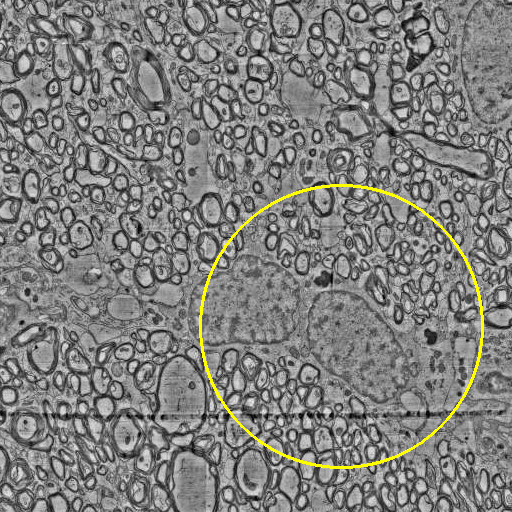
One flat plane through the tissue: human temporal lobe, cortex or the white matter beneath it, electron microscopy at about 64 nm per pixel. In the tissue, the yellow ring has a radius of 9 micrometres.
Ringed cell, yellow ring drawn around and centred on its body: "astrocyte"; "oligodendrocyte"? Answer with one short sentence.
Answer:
This ringed cell is an oligodendrocyte.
